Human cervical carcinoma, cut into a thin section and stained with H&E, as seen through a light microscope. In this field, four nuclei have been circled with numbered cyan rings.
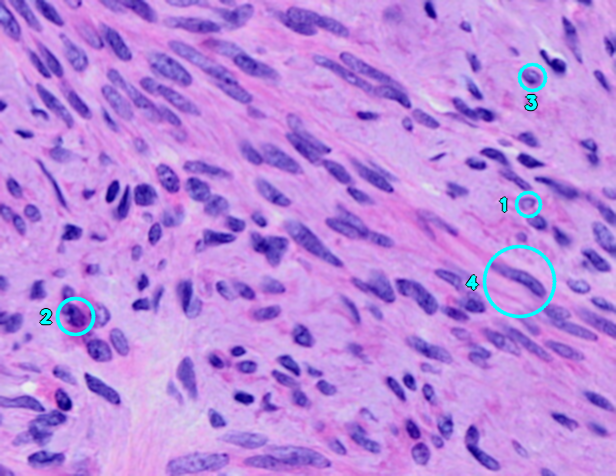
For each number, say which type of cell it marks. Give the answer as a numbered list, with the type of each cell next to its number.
1. smooth muscle cell
2. endothelial cell
3. smooth muscle cell
4. smooth muscle cell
